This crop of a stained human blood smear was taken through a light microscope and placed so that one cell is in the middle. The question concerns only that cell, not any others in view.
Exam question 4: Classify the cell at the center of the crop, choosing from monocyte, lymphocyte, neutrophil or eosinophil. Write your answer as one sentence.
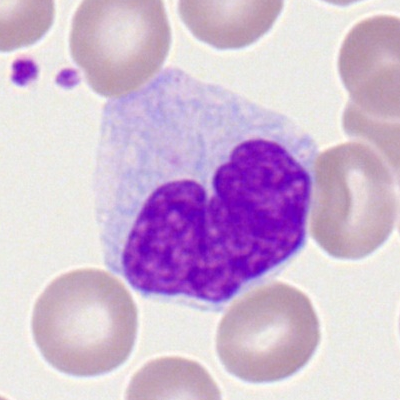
The cell featured at the centre of this crop is a monocyte.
